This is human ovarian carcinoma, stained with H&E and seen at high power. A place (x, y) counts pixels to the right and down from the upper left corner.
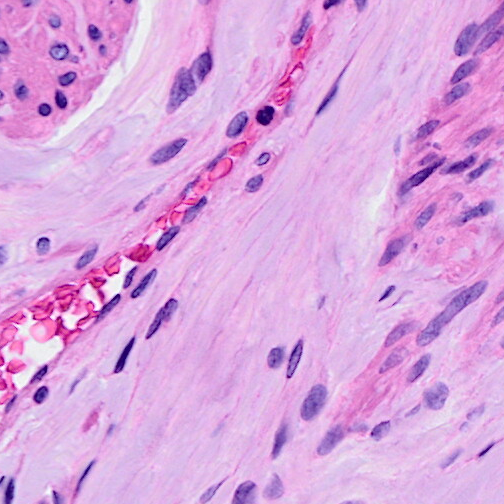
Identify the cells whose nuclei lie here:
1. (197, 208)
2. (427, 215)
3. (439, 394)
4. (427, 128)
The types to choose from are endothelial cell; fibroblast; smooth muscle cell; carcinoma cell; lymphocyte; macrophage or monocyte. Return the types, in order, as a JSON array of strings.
["endothelial cell", "smooth muscle cell", "fibroblast", "smooth muscle cell"]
